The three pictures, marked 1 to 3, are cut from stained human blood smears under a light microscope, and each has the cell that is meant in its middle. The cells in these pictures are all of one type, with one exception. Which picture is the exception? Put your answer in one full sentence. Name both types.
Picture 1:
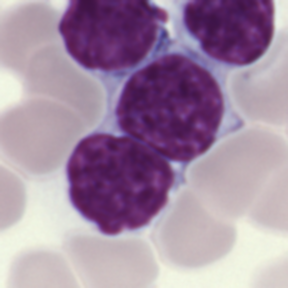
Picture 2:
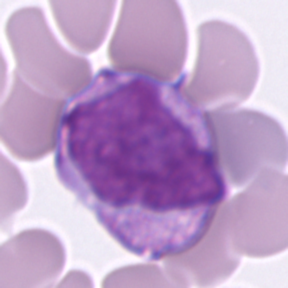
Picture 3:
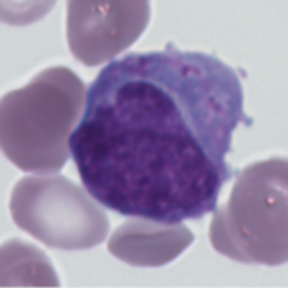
The different one is picture 1; it shows a myeloblast, whereas all the others show atypical promyelocytes.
